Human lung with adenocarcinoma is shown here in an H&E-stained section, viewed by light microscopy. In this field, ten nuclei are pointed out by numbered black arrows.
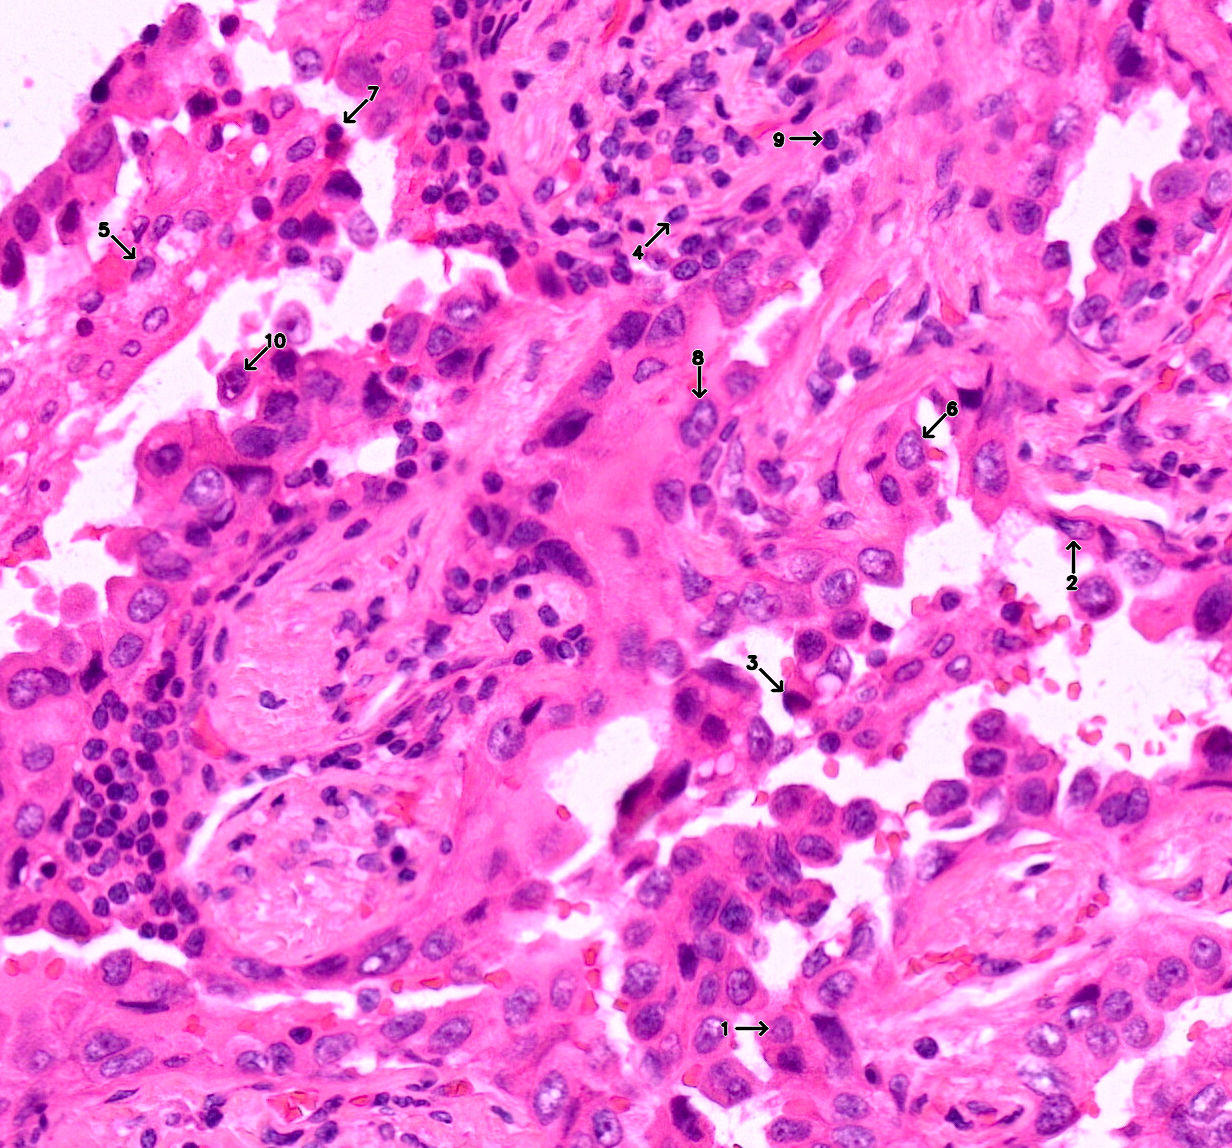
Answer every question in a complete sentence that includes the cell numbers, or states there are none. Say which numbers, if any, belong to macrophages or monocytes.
Across all the numbered cells, only number 5 is a macrophage or monocyte.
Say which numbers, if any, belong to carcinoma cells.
The cells that have numbers 1, 2, 3, 6, 8 and 10 are carcinoma cells.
